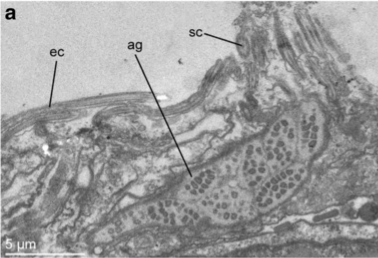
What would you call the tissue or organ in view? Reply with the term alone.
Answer: Epidermis.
